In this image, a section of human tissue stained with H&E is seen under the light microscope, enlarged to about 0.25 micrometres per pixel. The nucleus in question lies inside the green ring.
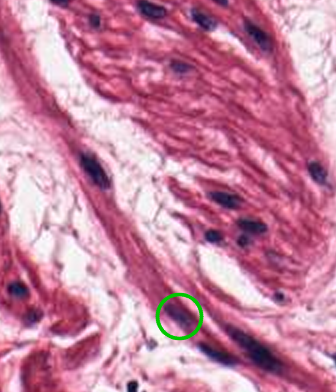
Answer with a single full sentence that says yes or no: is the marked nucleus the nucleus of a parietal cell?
No, the marked nucleus is not owned by a parietal cell.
